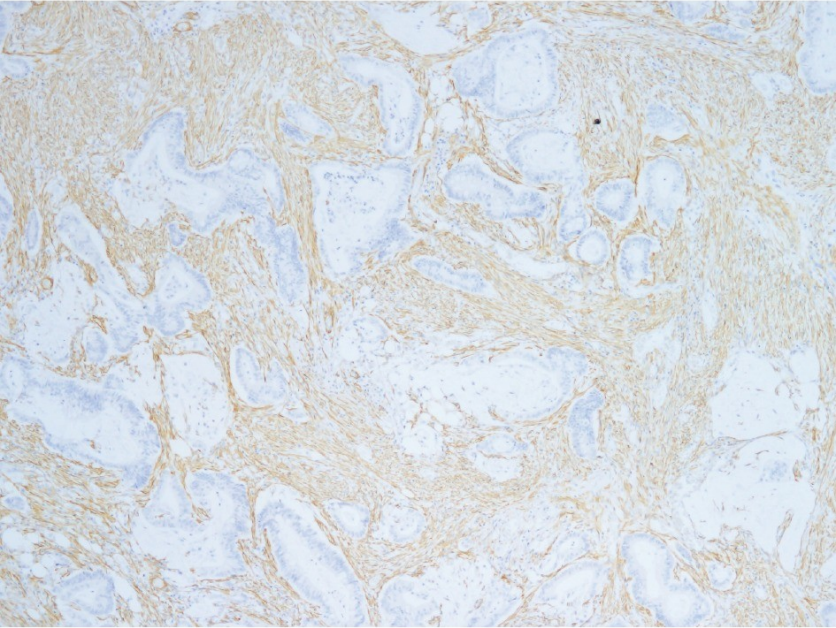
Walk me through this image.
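Invasive carcinoma with irregular, angulated glands lined by blue, unstained epithelium set in a dense stroma. The stroma is packed with spindle-shaped cells in interlacing bundles whose cytoplasm stains brown, wrapping around the glands.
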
